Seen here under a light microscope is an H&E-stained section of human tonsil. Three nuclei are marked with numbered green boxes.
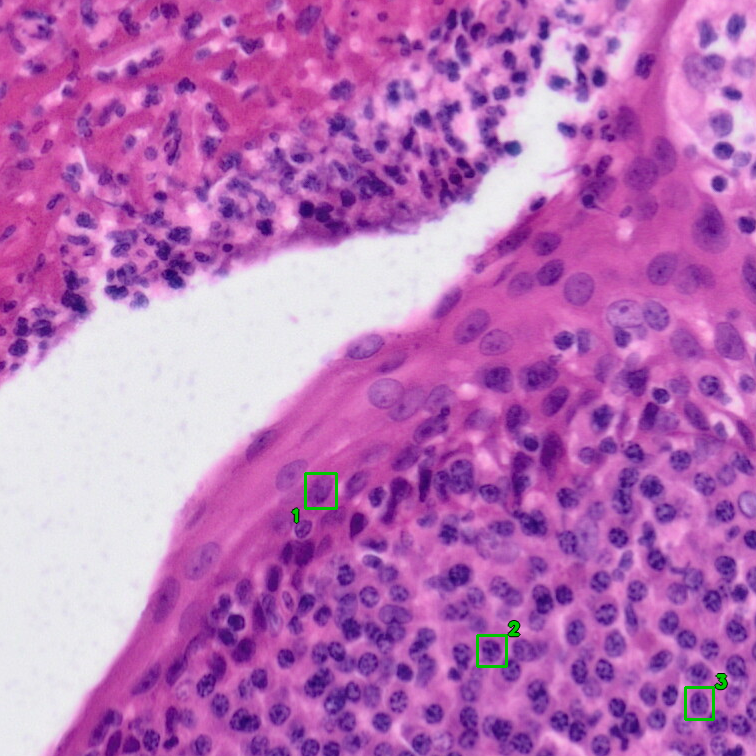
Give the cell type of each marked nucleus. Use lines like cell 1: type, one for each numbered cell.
cell 1: squamous epithelial cell
cell 2: plasma cell
cell 3: plasma cell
